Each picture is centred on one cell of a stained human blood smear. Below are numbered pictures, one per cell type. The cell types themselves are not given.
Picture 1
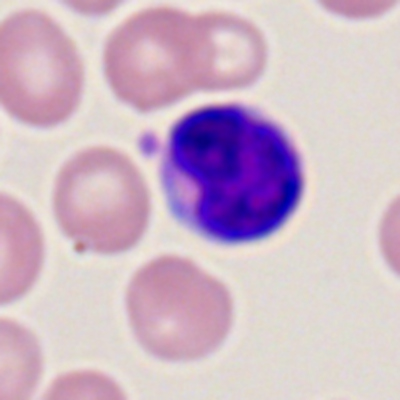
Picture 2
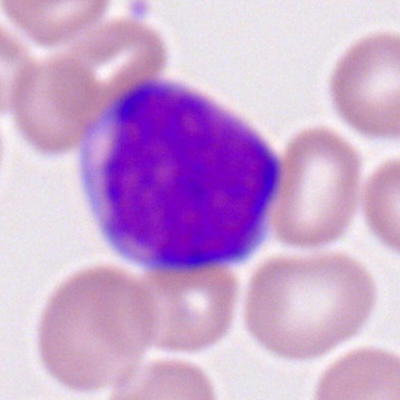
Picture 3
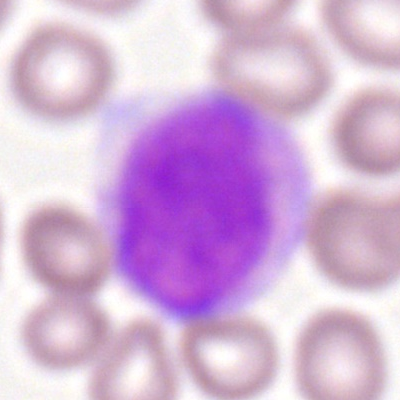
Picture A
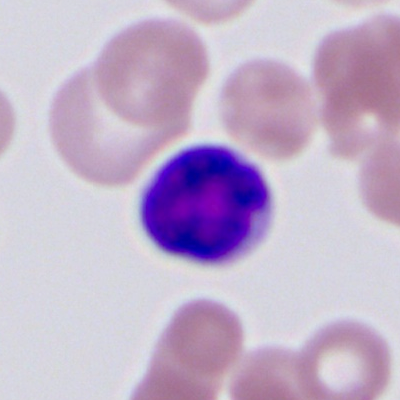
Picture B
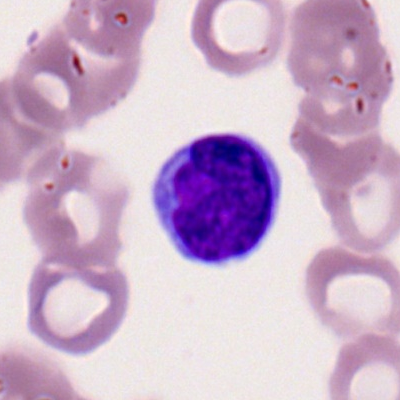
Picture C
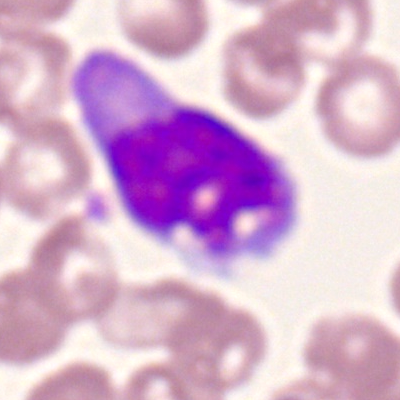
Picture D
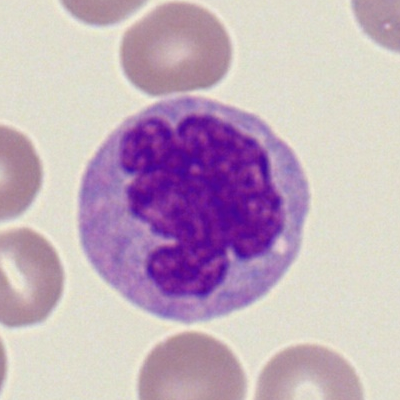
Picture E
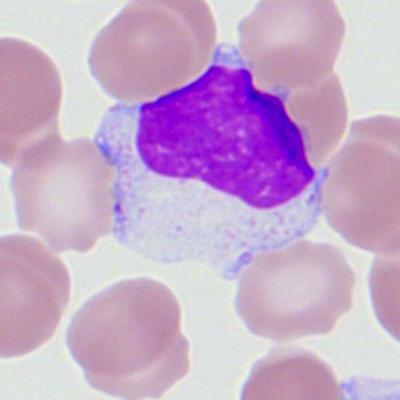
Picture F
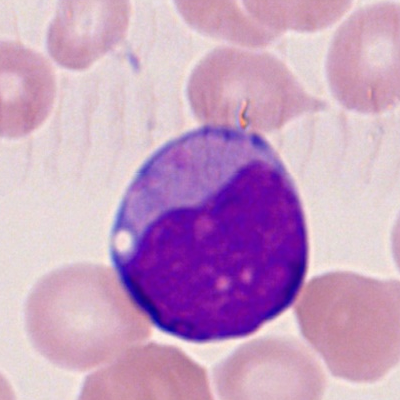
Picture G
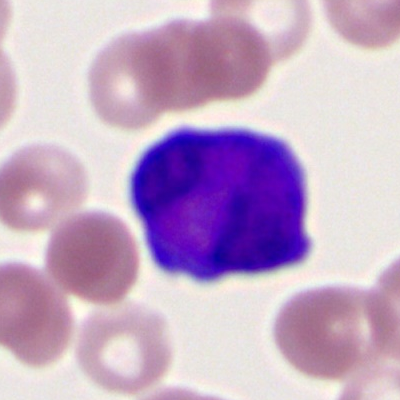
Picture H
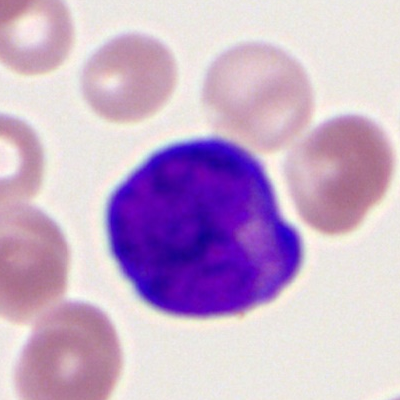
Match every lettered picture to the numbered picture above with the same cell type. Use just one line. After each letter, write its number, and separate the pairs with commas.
A 1, B 1, C 3, D 3, E 1, F 2, G 2, H 2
